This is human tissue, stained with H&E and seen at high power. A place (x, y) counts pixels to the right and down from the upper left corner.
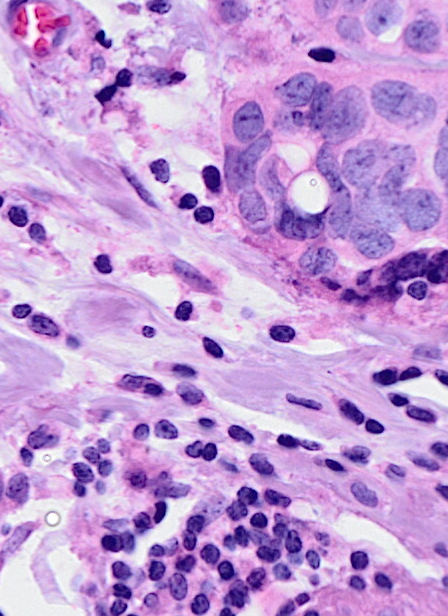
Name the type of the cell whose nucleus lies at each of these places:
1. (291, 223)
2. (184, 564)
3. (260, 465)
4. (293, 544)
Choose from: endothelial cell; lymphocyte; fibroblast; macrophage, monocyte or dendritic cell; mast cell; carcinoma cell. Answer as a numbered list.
1. carcinoma cell
2. lymphocyte
3. lymphocyte
4. lymphocyte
